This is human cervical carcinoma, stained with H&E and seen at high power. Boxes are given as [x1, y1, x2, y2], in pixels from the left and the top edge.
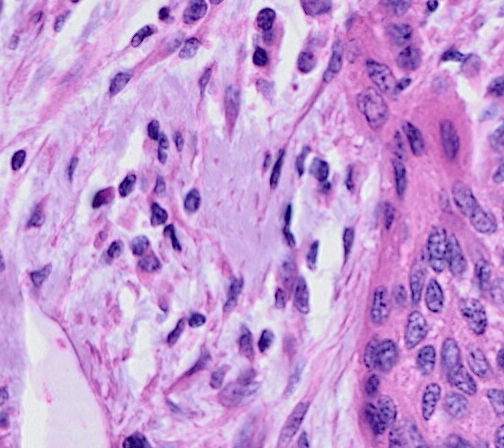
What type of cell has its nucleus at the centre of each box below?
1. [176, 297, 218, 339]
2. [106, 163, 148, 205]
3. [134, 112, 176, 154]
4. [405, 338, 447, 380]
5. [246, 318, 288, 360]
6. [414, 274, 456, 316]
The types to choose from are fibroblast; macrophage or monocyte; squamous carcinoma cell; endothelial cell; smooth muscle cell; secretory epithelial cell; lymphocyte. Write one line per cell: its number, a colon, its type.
1: lymphocyte
2: lymphocyte
3: lymphocyte
4: squamous carcinoma cell
5: lymphocyte
6: squamous carcinoma cell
